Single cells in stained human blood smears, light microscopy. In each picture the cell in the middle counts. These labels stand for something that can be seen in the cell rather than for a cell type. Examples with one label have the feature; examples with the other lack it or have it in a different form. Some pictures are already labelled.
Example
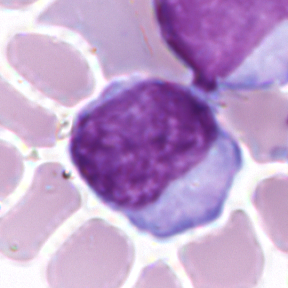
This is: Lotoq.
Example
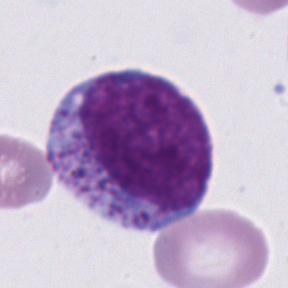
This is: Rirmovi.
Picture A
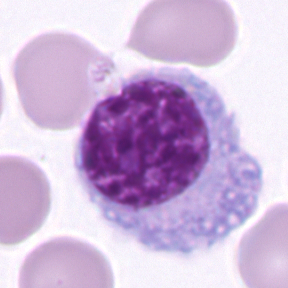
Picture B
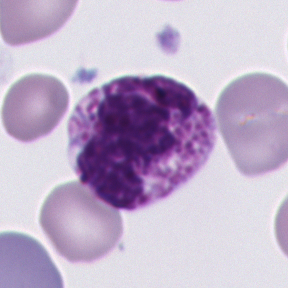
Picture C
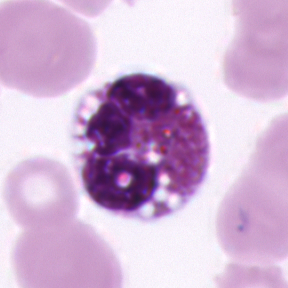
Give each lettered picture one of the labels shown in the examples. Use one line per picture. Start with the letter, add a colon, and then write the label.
A: Rirmovi.
B: Rirmovi.
C: Rirmovi.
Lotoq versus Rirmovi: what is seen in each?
In Lotoq: no vacuoles. In Rirmovi: vacuoles present.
